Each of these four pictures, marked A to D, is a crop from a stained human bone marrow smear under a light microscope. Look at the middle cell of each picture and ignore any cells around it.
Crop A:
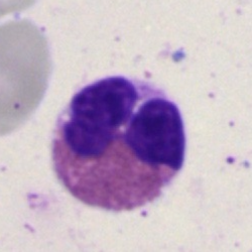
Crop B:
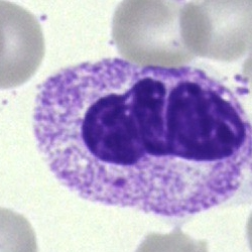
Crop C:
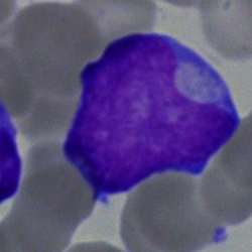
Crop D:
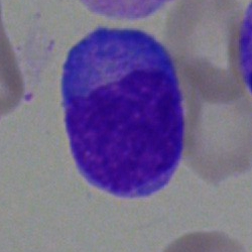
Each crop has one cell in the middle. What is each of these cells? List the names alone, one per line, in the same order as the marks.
eosinophil
segmented neutrophil
blast
blast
